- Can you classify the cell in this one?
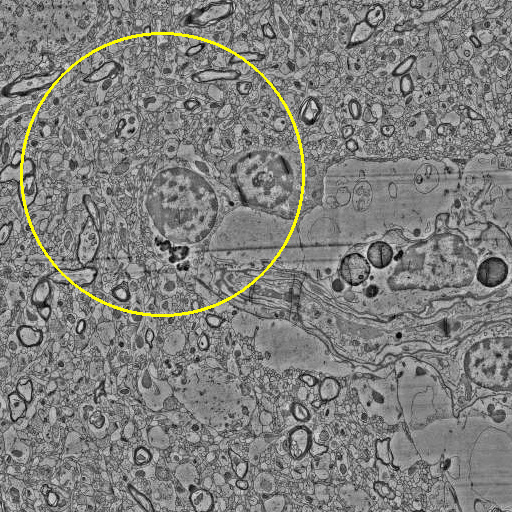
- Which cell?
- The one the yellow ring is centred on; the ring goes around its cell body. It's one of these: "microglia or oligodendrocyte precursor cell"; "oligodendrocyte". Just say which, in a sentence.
The cell body in the ring belongs to a microglial cell or oligodendrocyte precursor cell.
